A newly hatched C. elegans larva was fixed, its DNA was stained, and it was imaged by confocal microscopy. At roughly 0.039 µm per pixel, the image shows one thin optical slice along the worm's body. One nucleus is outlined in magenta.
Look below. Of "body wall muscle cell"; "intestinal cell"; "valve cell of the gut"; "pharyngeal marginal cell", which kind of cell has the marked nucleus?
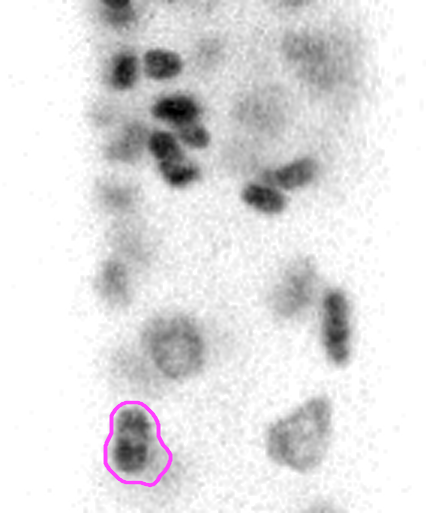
body wall muscle cell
